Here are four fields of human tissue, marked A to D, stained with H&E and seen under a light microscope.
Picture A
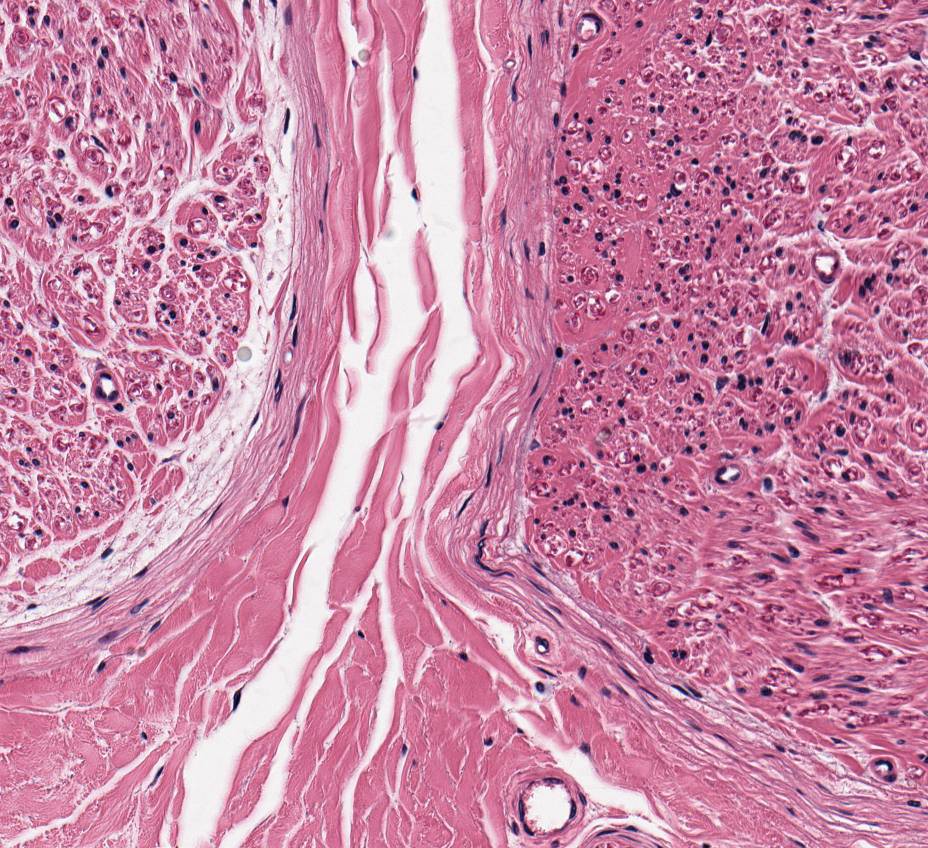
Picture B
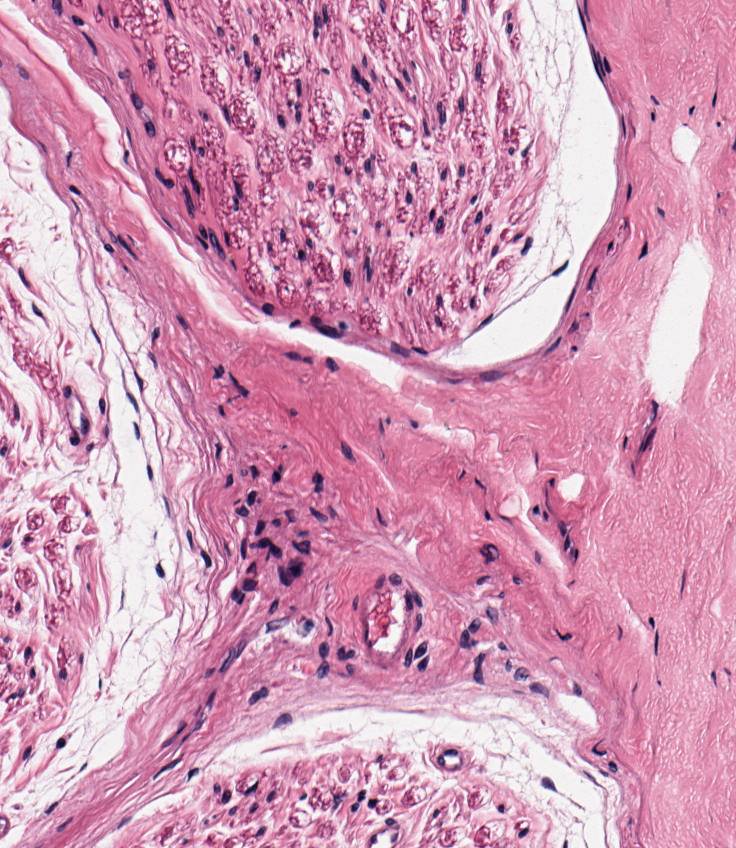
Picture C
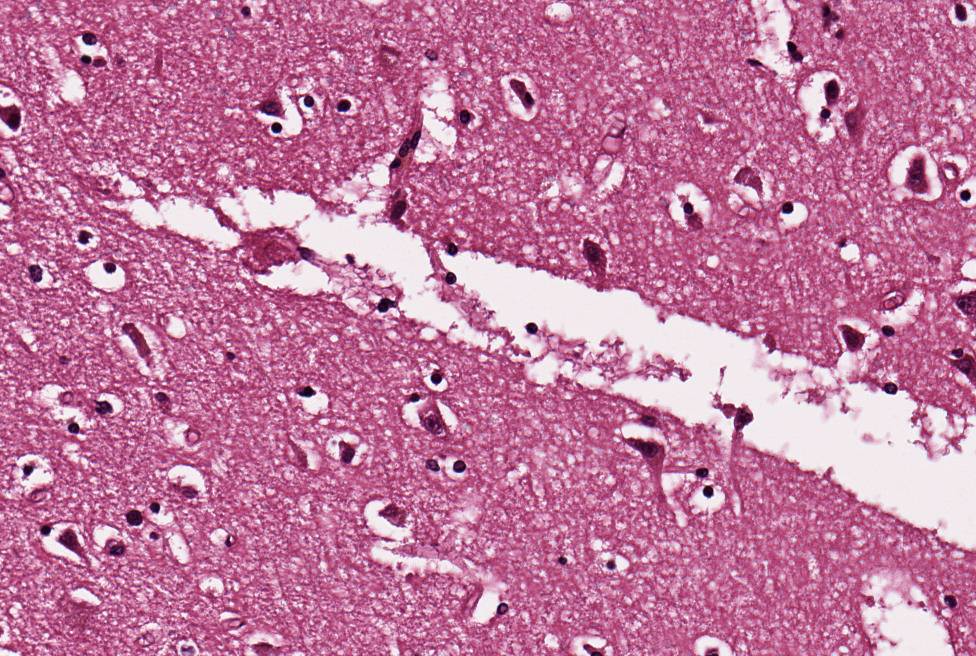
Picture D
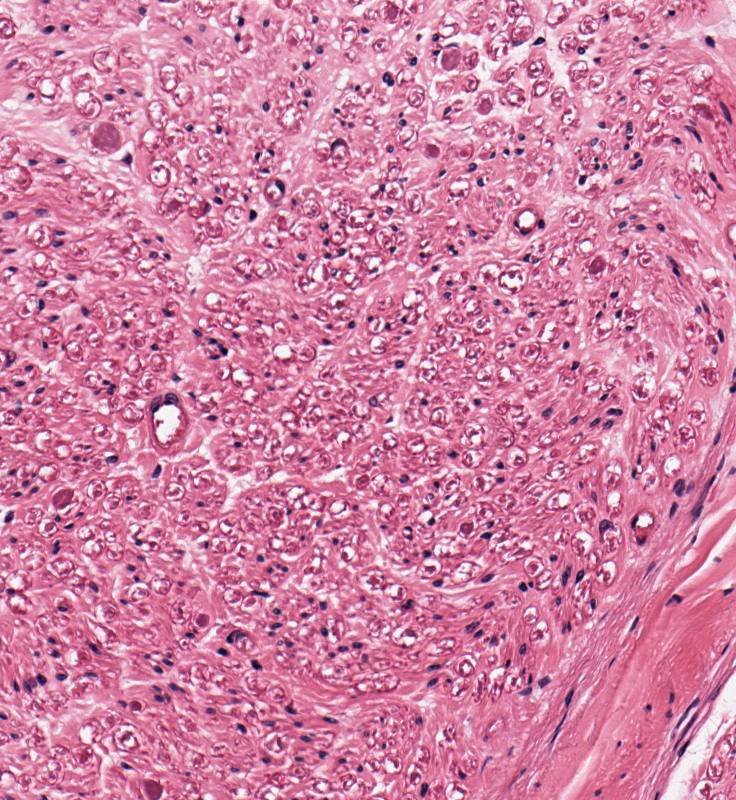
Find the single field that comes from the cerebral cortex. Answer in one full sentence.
Picture C comes from the cerebral cortex.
